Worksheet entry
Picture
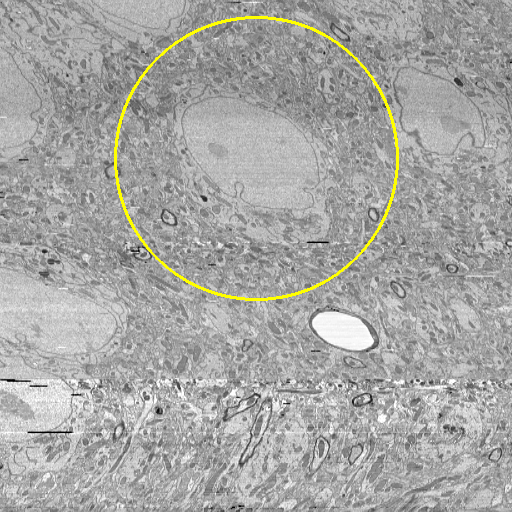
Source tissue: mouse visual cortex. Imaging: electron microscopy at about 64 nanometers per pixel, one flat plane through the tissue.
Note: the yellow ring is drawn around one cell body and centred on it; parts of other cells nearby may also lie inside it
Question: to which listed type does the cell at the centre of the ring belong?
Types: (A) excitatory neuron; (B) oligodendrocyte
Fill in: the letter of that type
A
